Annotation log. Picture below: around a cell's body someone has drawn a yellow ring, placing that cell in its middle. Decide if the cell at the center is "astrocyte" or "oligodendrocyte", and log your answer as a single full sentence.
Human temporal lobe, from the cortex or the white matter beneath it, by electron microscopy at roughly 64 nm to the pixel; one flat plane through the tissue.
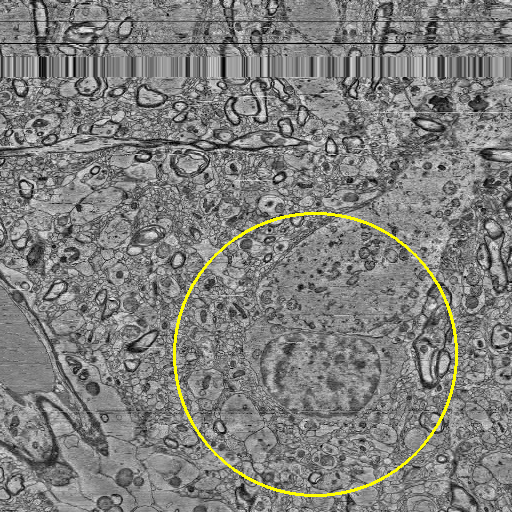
My entry records an oligodendrocyte as the cell sitting at the center of the yellow ring.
